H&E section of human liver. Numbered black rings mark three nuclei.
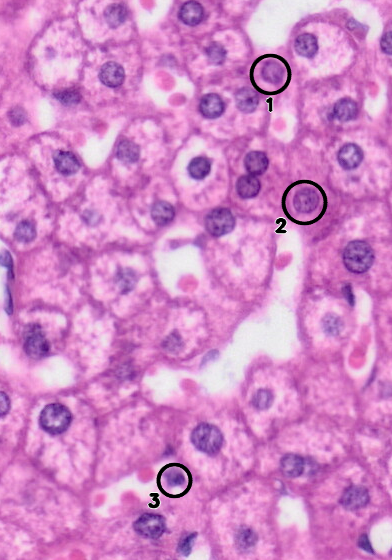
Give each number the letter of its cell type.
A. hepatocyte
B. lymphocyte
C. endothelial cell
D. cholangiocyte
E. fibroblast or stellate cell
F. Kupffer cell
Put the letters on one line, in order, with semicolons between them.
A; A; F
